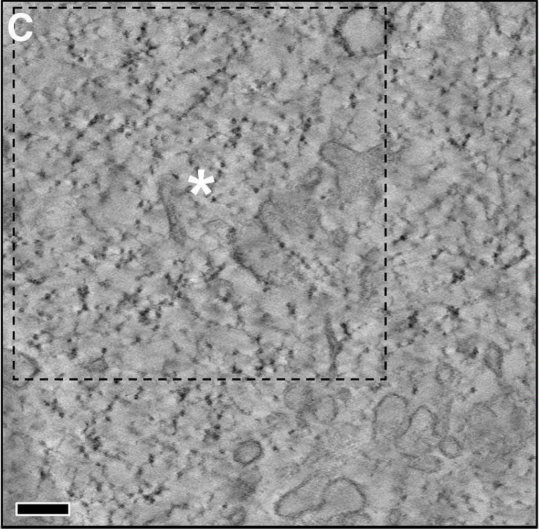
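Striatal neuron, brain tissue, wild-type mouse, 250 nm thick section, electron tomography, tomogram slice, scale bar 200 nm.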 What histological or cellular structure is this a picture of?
polysomal clusters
